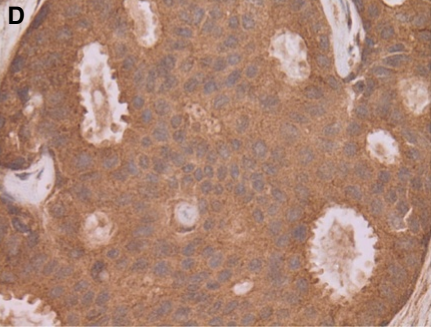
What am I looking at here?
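A large nest of epithelial tumor cells is shown, crowded together around several small rounded lumina, giving a sieve-like pattern. The cells have small to medium oval nuclei that are pale blue-grey, set in cytoplasm stained a strong, diffuse brown, so that the whole nest looks dark brown. The lumina are empty or hold pale material, and their rims are stained brown. At the edge of the nest lie a thin band of stroma and a few spaces.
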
